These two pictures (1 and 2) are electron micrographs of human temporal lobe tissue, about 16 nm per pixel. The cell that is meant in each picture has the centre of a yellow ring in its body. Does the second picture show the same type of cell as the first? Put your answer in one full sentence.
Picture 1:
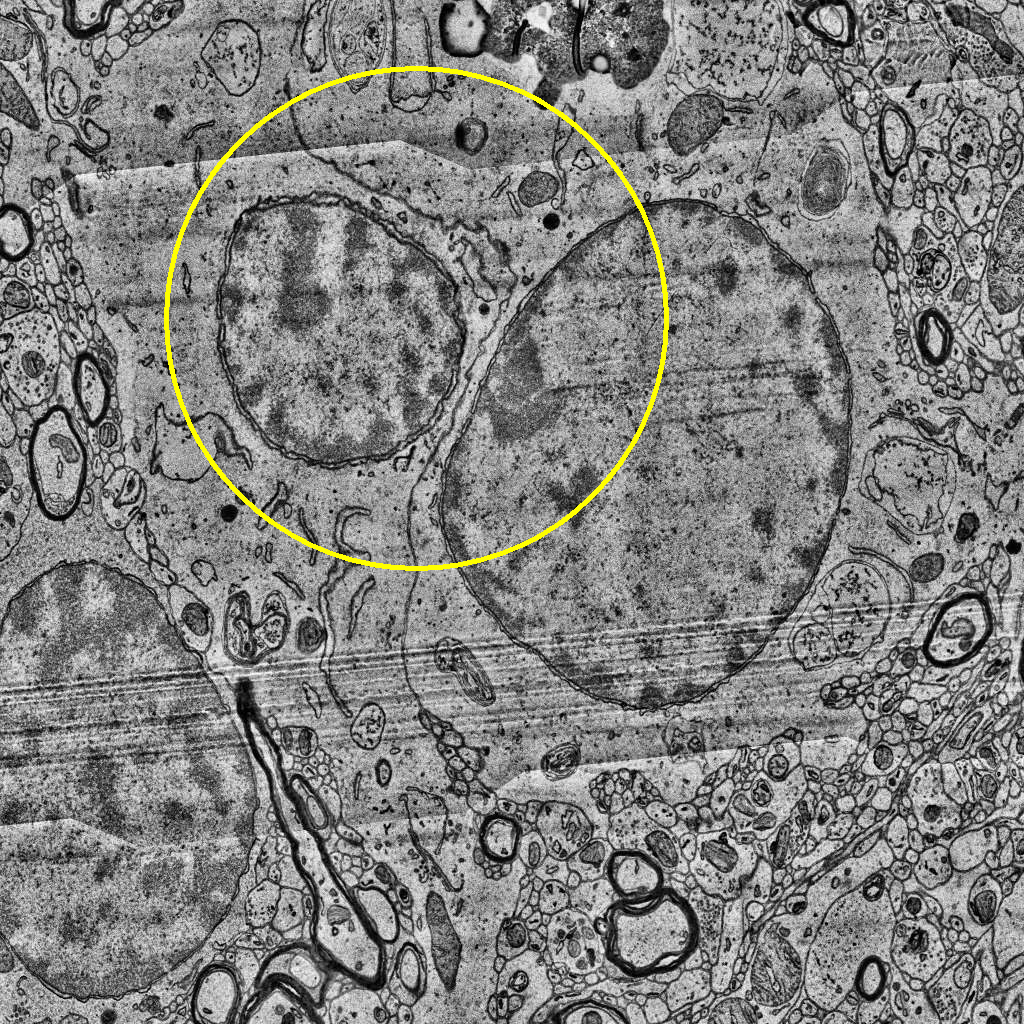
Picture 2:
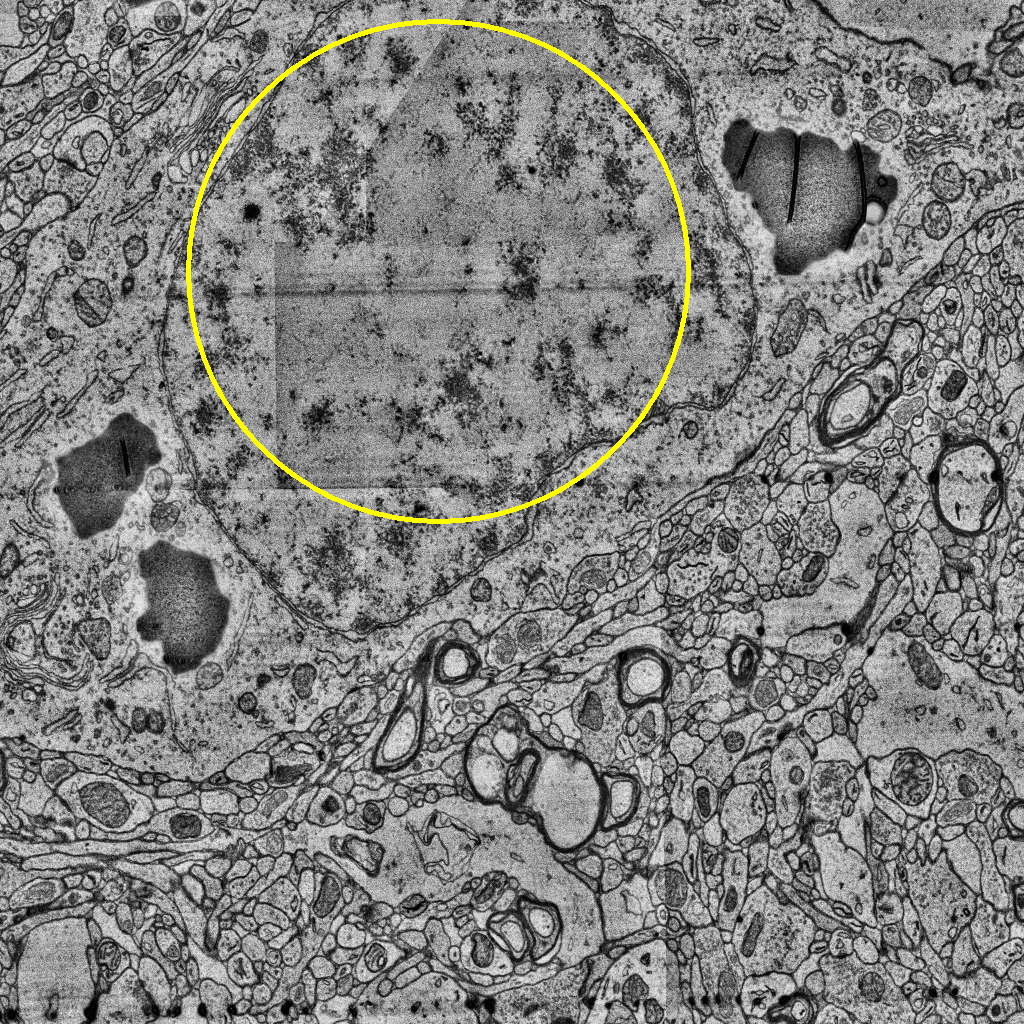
No, picture 1 shows an astrocyte and picture 2 shows an interneuron.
